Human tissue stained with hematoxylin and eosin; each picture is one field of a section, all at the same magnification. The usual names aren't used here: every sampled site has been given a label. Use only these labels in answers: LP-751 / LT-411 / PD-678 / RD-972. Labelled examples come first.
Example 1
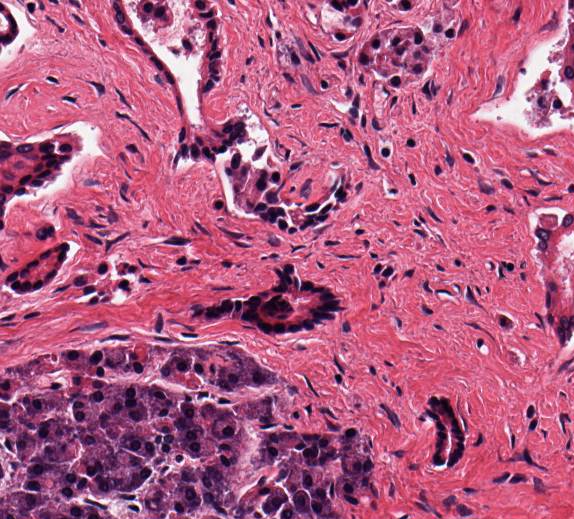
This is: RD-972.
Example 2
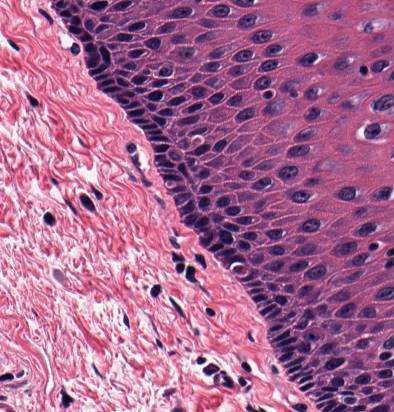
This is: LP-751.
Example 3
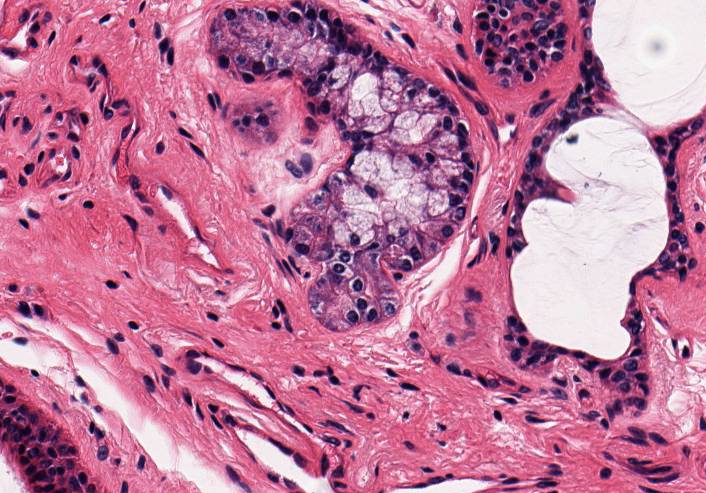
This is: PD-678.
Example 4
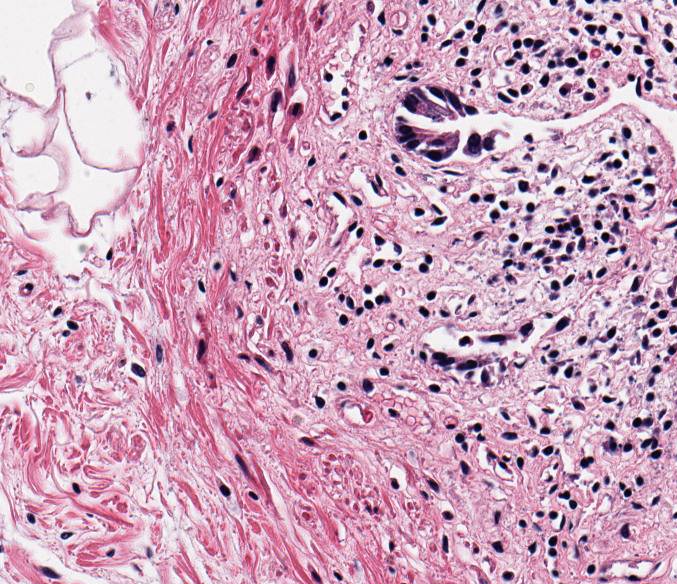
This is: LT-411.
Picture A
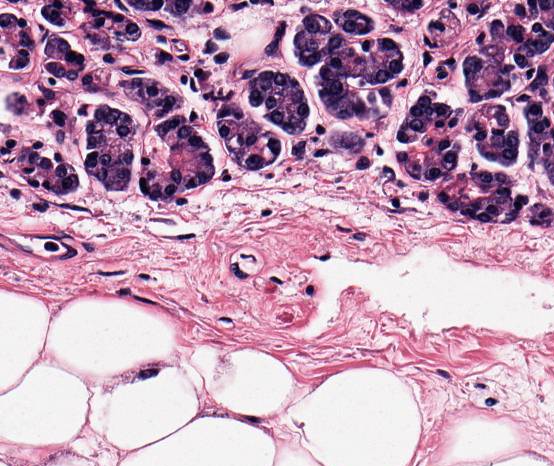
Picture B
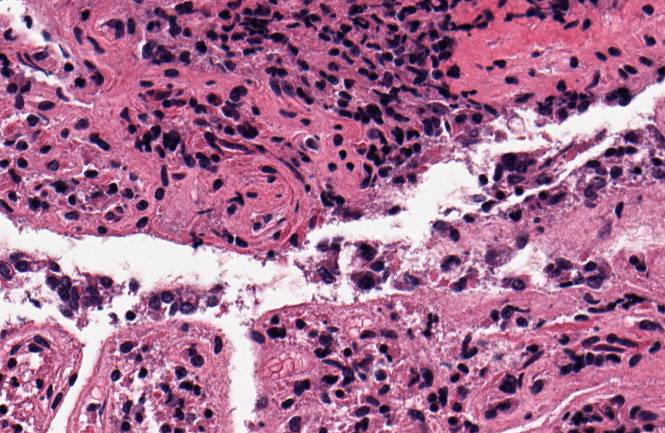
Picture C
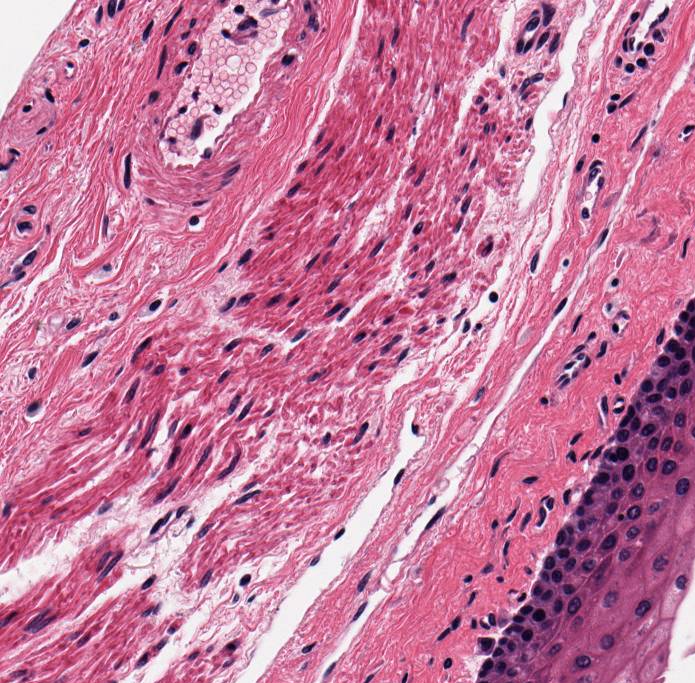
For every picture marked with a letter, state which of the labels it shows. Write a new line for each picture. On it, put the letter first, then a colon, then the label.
A: RD-972.
B: LT-411.
C: LP-751.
